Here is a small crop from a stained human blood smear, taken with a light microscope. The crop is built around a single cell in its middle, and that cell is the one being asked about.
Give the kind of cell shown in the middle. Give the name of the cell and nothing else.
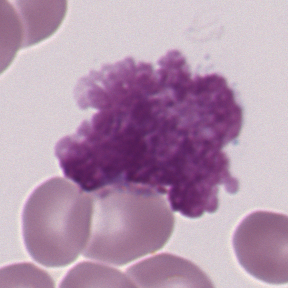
smudge cell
